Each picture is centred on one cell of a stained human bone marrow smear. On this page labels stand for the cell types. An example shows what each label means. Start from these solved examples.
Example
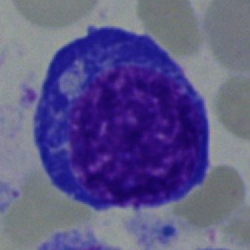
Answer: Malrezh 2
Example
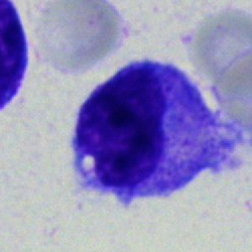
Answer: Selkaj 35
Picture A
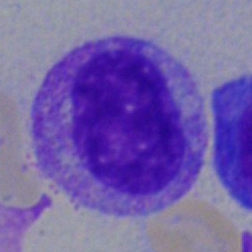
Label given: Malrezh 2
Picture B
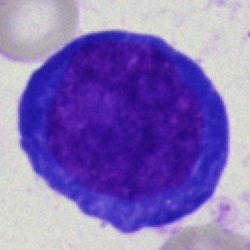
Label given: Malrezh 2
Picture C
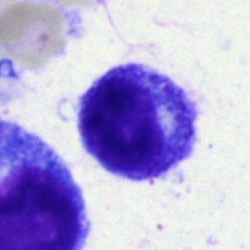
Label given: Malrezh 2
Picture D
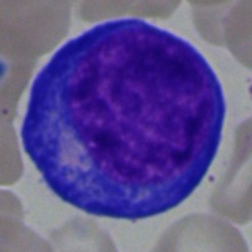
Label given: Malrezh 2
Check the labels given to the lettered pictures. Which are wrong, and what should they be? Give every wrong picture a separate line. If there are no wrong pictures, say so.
A should be Selkaj 35, not Malrezh 2
C should be Selkaj 35, not Malrezh 2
